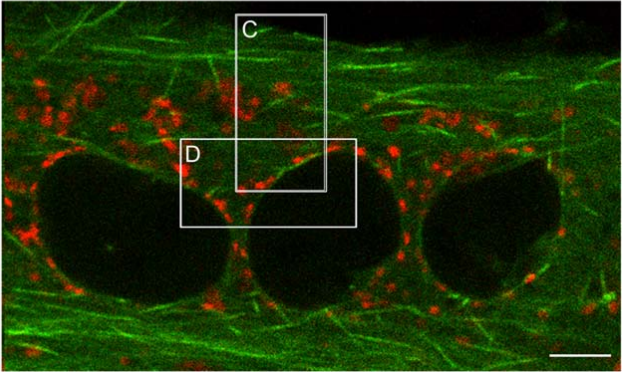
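Three large, dark, oval nuclei lie side by side in a row within one shared cytoplasm. Many small red puncta are scattered through the cytoplasm, and they gather especially around the rims of the nuclei, where they outline the nuclear envelope. Fine green filamentous streaks run mostly lengthwise along the fibre, crossing the field above and below the nuclei. There is also a diffuse green haze in the cytoplasm.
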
